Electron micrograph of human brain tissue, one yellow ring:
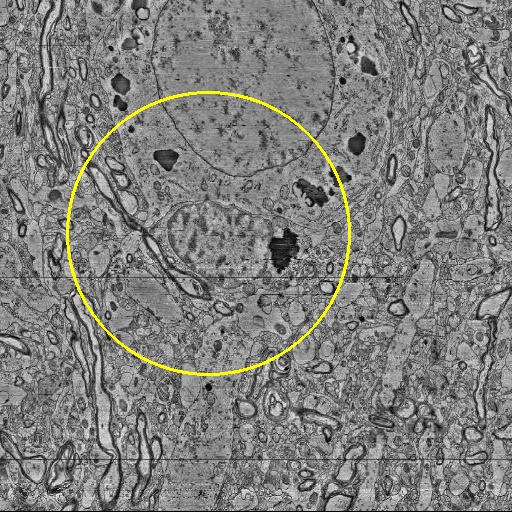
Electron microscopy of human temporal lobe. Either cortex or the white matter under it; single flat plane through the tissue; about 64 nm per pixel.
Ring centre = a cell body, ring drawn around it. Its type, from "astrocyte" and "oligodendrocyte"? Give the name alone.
oligodendrocyte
